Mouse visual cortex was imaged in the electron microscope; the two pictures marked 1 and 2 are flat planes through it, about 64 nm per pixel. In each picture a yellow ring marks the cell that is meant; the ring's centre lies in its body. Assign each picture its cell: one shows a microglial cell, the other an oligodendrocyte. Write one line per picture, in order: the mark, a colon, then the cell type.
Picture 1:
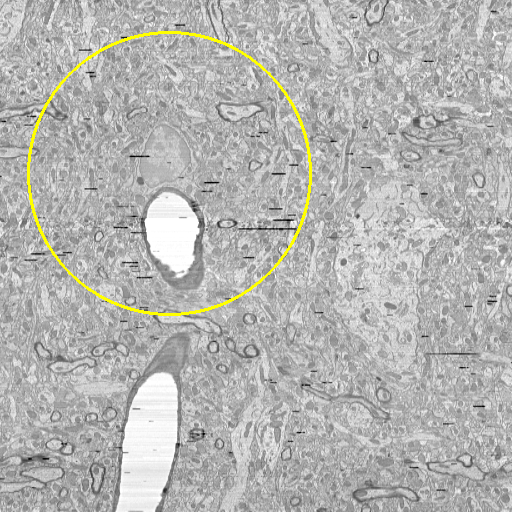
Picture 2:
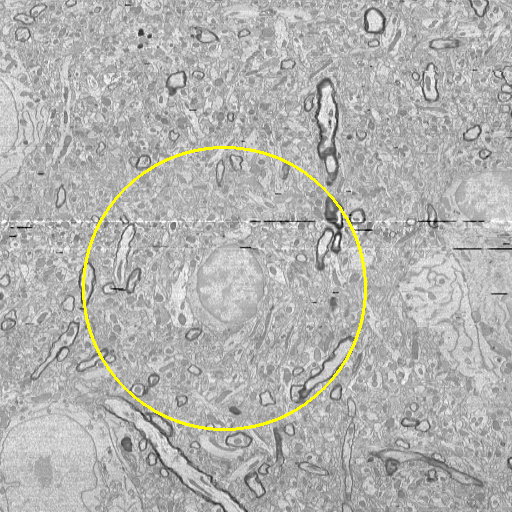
1: microglial cell
2: oligodendrocyte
